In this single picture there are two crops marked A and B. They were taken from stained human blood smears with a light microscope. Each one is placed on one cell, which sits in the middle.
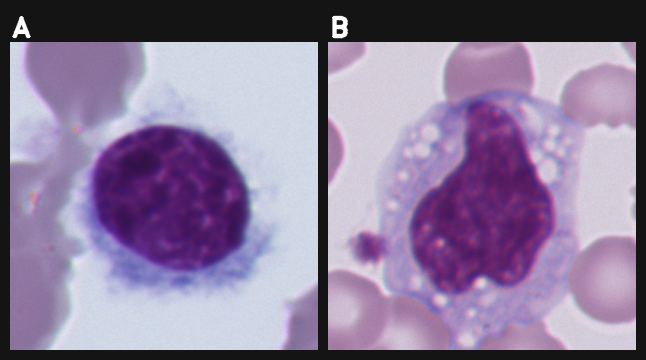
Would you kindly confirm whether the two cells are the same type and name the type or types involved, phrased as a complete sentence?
No, a monocyte is the cell in crop B, and crop A contains a hairy cell.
